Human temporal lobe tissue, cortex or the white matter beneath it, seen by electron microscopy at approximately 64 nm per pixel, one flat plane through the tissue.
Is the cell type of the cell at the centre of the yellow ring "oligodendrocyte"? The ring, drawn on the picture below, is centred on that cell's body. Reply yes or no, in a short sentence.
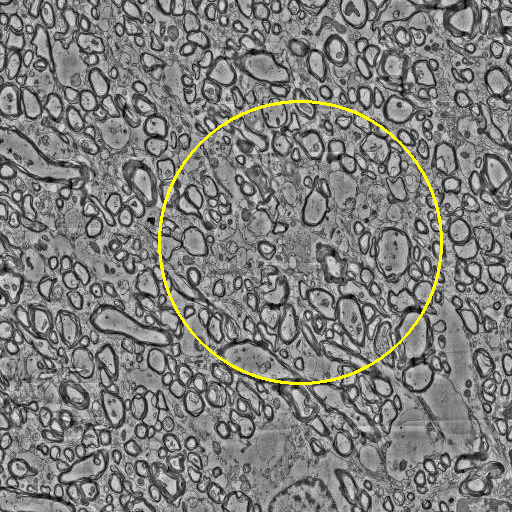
Yes, that is its cell type.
